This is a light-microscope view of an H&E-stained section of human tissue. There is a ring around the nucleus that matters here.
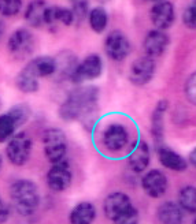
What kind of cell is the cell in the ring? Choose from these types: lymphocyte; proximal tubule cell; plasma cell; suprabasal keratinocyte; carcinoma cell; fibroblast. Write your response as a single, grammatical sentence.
Assigned to a cell type, the cell in the ring is a plasma cell.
